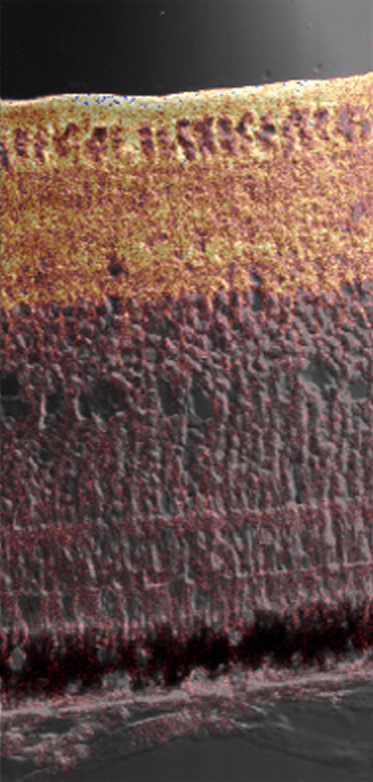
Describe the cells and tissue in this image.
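This is a transverse section through the retina, with the inner surface at the top and the outer, pigmented side at the bottom. The upper third, taking in the nerve fiber, ganglion cell and inner plexiform layers, glows orange-yellow, and just under the upper border the signal forms a row of short radial streaks. Below a fairly sharp boundary the tissue holds many closely packed rounded cell profiles in relief, with only faint red speckling. Thin horizontal bands cross the lower half, and near the bottom a dark, comb-like pigmented band runs along the section above a loose strip of tissue.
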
